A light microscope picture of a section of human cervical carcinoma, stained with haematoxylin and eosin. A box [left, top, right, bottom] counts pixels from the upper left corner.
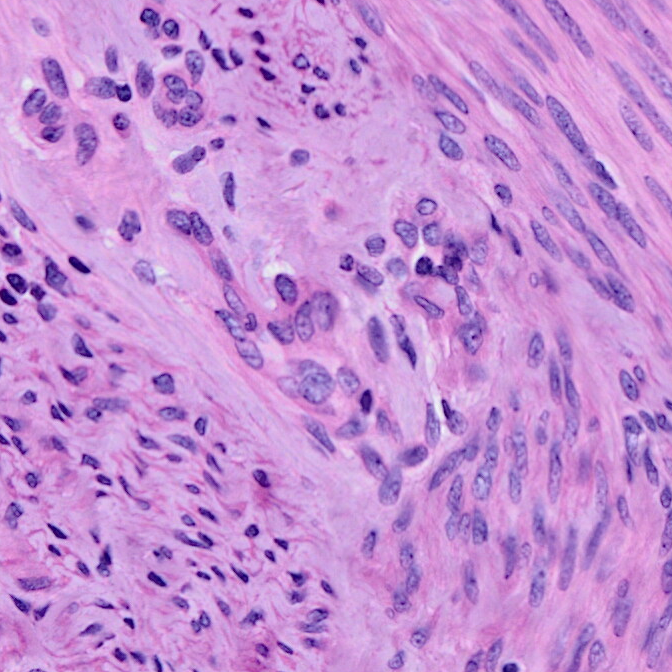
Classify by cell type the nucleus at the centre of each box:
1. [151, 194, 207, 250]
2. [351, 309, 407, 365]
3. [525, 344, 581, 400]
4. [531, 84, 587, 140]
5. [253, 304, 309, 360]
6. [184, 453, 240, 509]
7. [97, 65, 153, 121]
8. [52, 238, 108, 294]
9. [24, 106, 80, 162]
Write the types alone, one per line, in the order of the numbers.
endothelial cell
fibroblast
smooth muscle cell
smooth muscle cell
endothelial cell
smooth muscle cell
lymphocyte
lymphocyte
endothelial cell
